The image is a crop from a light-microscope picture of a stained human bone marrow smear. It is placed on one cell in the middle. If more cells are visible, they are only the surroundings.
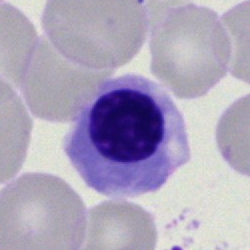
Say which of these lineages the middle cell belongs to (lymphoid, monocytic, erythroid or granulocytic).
erythroid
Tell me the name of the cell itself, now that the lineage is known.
erythroblast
